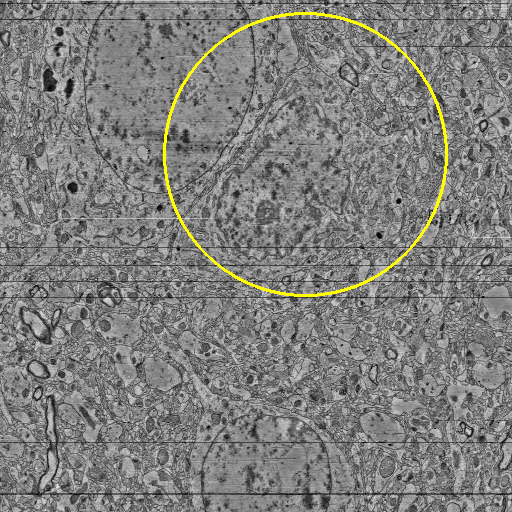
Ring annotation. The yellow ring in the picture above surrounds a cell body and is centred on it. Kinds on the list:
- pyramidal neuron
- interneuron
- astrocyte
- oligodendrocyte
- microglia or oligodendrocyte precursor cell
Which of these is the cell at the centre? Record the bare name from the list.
interneuron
